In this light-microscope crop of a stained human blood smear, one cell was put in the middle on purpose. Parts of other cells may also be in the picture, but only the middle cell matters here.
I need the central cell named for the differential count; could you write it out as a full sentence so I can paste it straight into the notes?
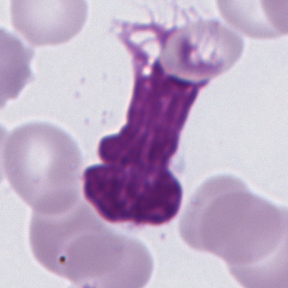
This crop has a smudge cell at its centre.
